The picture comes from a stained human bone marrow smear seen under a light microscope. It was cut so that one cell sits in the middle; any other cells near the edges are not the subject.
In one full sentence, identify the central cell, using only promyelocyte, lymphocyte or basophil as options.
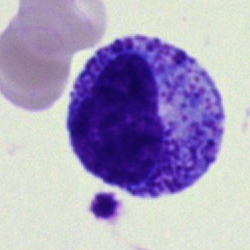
The cell of interest, in the center, is a promyelocyte.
